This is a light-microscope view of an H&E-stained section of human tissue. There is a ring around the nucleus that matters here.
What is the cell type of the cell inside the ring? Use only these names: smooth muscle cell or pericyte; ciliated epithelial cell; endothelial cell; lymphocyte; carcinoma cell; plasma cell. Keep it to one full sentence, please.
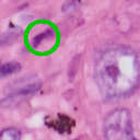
In the context of this tissue, the cell inside the ring is a plasma cell.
